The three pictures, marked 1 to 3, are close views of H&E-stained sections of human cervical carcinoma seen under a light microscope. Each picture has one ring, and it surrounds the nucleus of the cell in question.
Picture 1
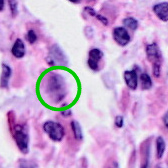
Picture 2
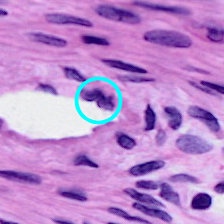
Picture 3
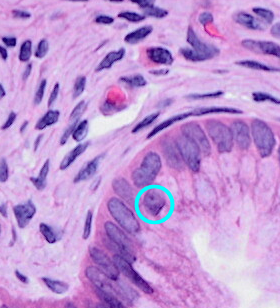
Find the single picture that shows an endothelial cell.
2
